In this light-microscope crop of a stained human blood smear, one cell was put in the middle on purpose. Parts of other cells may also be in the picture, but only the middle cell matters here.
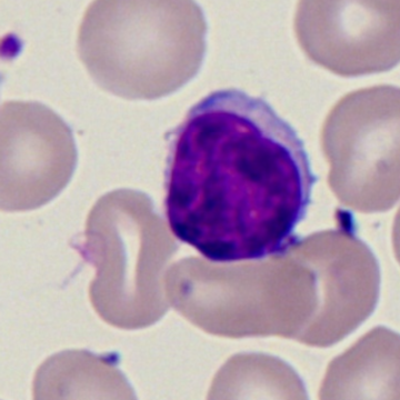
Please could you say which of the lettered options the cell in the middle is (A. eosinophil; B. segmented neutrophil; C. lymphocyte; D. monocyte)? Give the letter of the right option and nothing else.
C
